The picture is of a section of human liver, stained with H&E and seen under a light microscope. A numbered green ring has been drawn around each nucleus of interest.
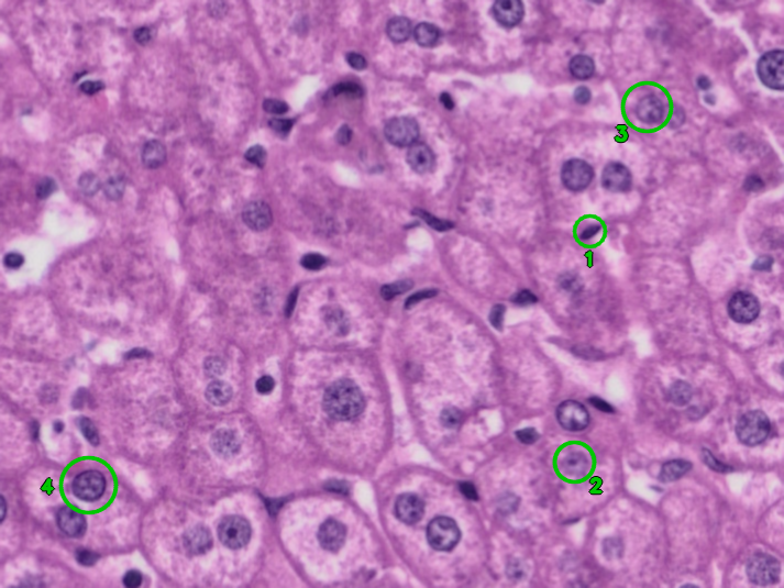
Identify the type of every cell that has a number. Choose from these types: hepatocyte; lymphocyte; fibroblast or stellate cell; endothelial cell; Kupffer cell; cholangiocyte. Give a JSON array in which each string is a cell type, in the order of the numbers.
["fibroblast or stellate cell", "hepatocyte", "hepatocyte", "hepatocyte"]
